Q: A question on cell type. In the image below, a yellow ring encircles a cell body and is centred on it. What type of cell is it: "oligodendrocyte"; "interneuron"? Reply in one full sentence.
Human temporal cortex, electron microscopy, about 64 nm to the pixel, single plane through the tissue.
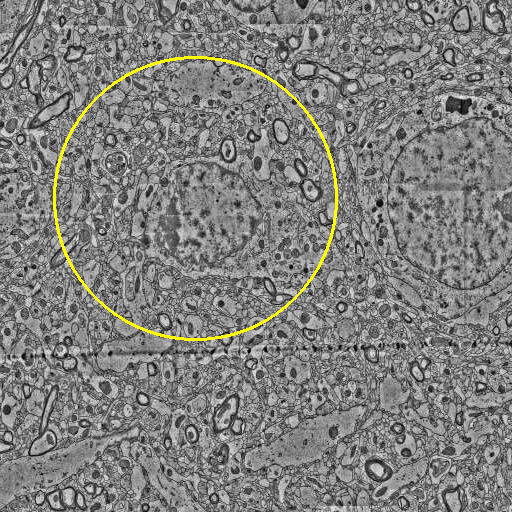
It is an interneuron whose cell body sits at the centre of the yellow ring in the image.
